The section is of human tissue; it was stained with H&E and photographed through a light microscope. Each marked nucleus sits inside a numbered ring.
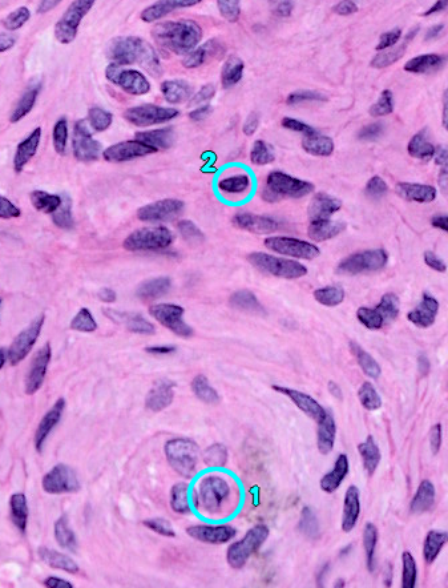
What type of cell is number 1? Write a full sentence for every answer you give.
The cell numbered 1 represents an endothelial cell.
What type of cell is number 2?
The numbered cell 2 is identified here as a fibroblast.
